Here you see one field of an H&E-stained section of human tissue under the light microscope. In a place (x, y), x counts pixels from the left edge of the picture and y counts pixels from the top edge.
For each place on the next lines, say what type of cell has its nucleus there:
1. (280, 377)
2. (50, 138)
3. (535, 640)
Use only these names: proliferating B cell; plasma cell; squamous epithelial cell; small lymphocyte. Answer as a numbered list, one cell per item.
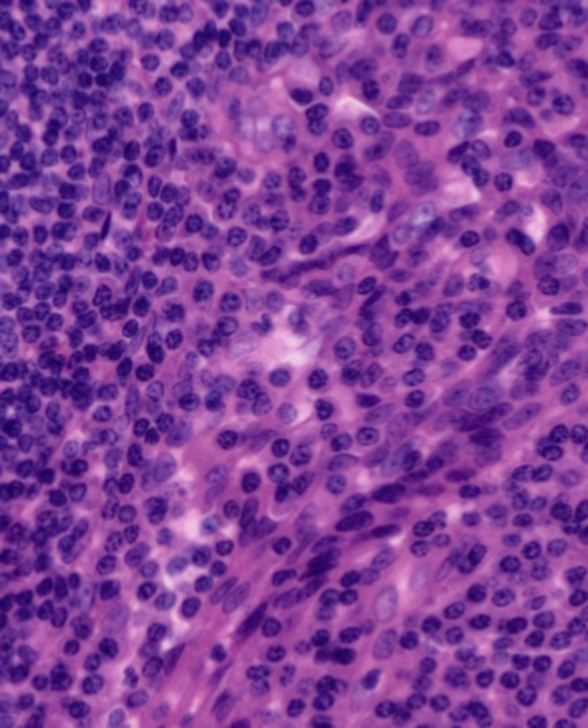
1. plasma cell
2. small lymphocyte
3. plasma cell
